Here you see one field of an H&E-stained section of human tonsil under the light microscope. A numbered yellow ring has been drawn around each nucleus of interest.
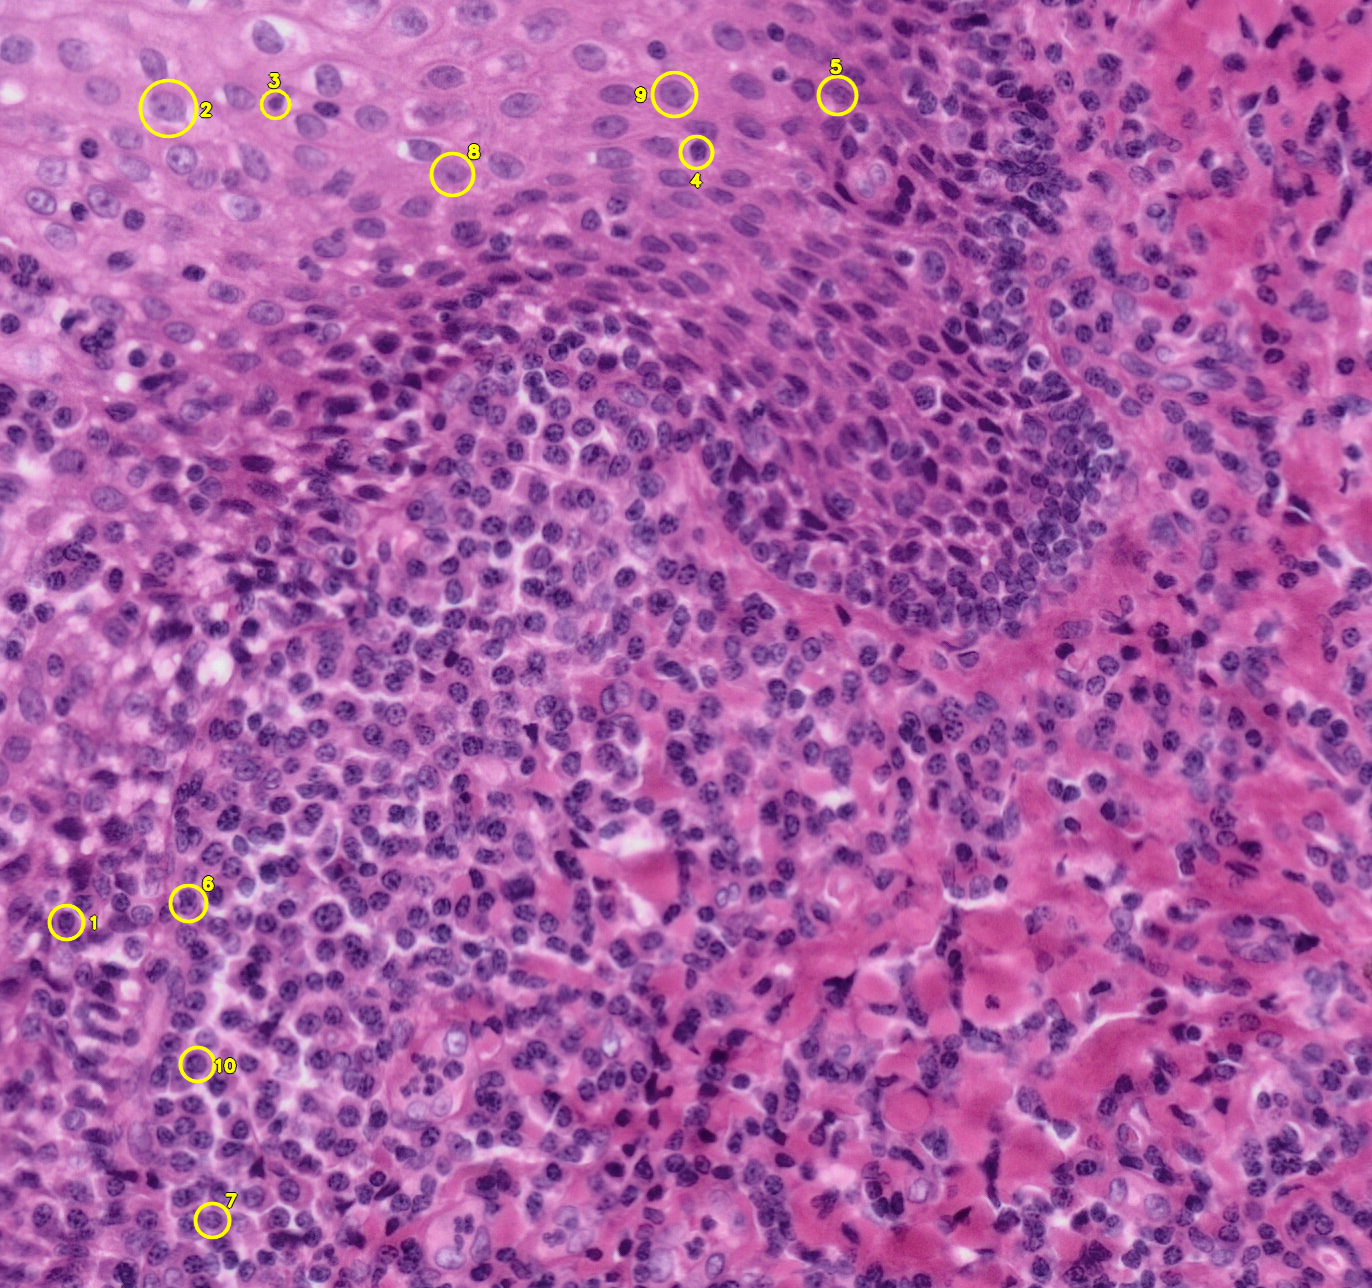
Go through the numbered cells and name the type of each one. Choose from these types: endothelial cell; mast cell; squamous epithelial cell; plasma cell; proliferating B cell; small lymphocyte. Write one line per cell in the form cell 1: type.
cell 1: plasma cell
cell 2: squamous epithelial cell
cell 3: squamous epithelial cell
cell 4: squamous epithelial cell
cell 5: squamous epithelial cell
cell 6: plasma cell
cell 7: plasma cell
cell 8: squamous epithelial cell
cell 9: squamous epithelial cell
cell 10: plasma cell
